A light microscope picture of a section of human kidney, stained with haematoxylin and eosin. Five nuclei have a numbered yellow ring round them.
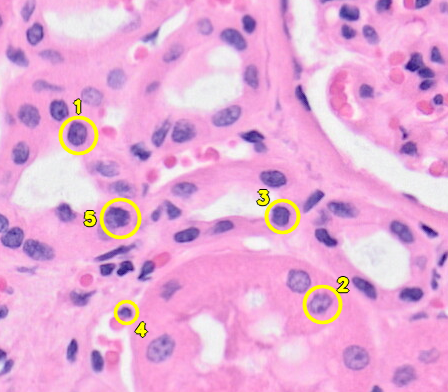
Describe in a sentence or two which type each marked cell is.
Cell 1 is a collecting duct cell, cell 2 is a proximal tubule cell, cell 3 is a collecting duct cell, cell 4 is an endothelial cell and cell 5 is a collecting duct cell.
